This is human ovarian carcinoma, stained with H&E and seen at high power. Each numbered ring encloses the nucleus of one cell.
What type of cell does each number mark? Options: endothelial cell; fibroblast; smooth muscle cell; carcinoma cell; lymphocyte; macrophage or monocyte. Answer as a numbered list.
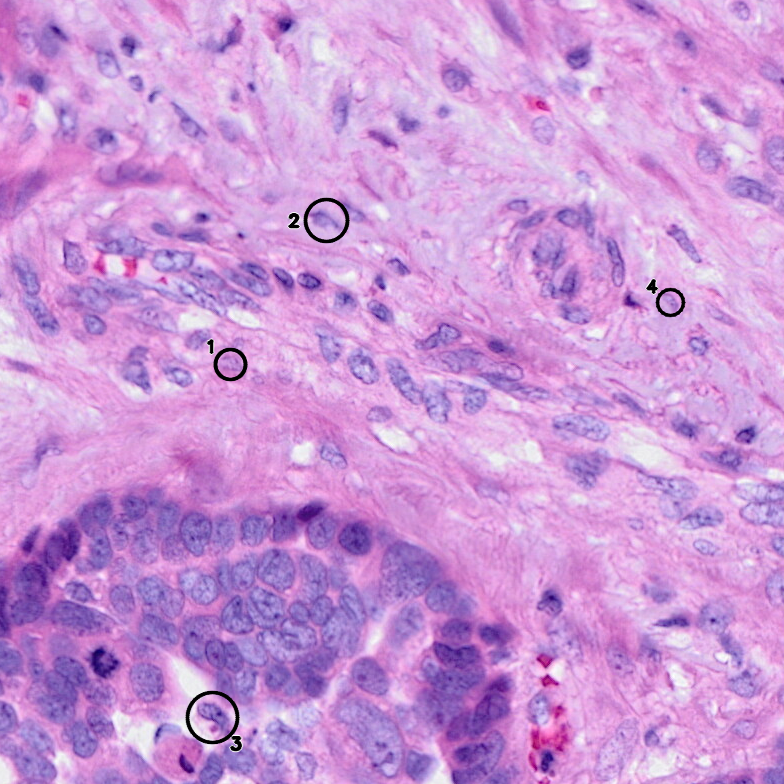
1. fibroblast
2. fibroblast
3. macrophage or monocyte
4. fibroblast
